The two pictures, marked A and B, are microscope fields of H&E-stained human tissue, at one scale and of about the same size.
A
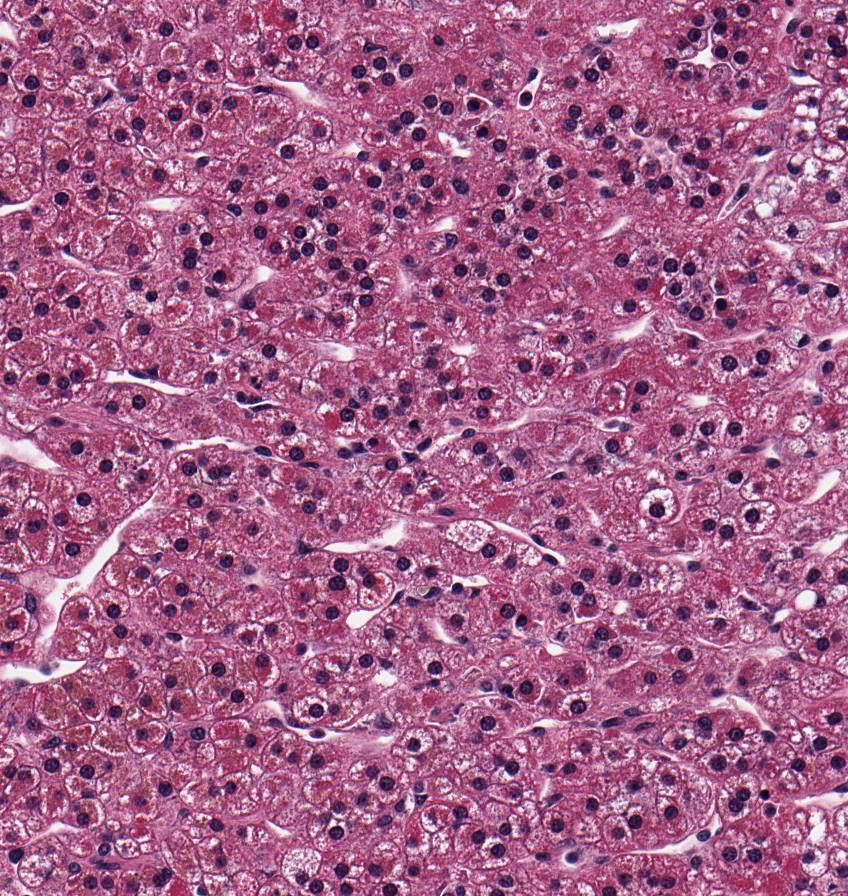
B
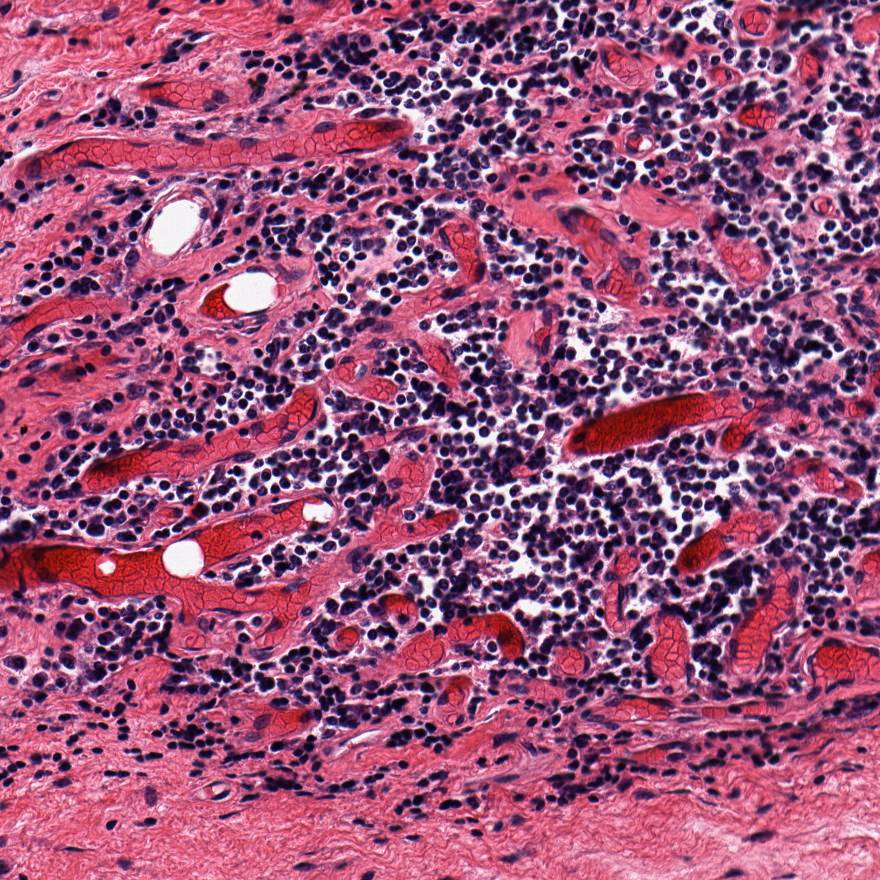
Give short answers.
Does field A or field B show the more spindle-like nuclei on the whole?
B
